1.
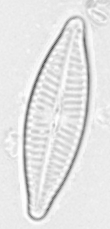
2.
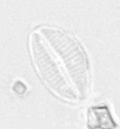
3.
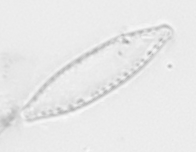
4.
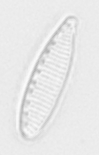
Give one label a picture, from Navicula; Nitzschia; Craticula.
1. Navicula
2. Craticula
3. Nitzschia
4. Nitzschia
